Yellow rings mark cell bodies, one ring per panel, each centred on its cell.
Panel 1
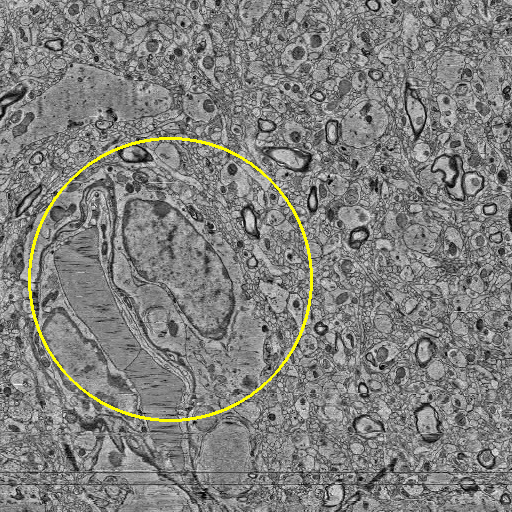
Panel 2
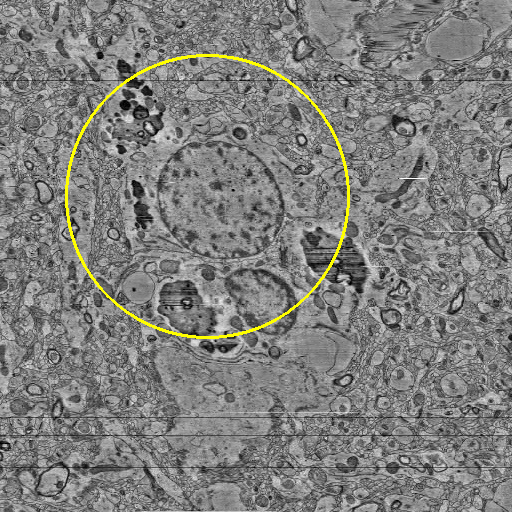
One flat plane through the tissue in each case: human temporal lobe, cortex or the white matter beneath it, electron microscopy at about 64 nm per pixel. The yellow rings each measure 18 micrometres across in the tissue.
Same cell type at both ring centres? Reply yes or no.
no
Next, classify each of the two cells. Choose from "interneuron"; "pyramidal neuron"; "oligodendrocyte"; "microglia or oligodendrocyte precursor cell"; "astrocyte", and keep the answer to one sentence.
In the first picture it is a microglial cell or oligodendrocyte precursor cell; in the second it is an astrocyte.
